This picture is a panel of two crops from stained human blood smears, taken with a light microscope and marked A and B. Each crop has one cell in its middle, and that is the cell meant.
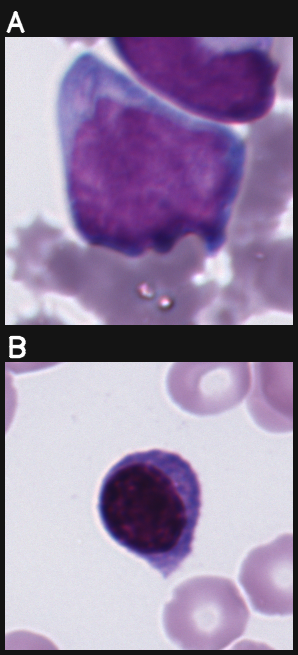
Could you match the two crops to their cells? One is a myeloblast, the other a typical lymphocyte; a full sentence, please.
In this set, crop A shows a myeloblast and crop B shows a typical lymphocyte.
